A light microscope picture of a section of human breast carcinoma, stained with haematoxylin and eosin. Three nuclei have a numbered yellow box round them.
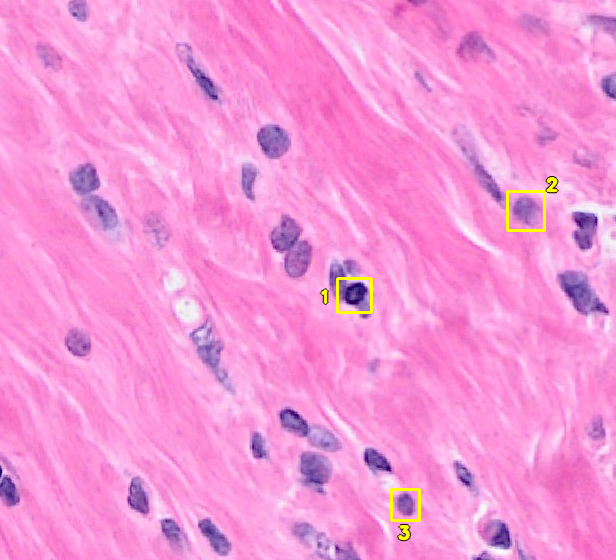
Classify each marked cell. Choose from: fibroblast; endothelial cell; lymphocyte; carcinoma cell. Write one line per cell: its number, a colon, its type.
1: lymphocyte
2: fibroblast
3: lymphocyte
